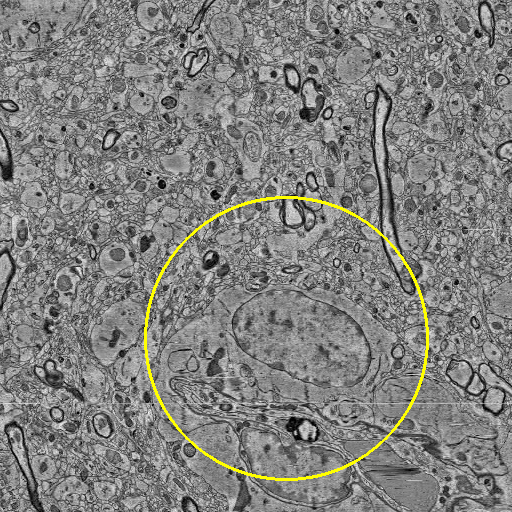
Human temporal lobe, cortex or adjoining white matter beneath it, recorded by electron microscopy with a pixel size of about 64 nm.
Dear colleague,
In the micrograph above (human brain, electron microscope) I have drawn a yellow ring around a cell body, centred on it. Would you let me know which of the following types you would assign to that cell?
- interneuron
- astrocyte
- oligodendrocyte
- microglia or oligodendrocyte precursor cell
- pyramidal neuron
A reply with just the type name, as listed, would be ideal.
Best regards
microglia or oligodendrocyte precursor cell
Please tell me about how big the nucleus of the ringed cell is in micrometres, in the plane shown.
The nucleus is approximately 9 micrometres long but only about 5 wide, clearly longer than it is wide in this plane.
